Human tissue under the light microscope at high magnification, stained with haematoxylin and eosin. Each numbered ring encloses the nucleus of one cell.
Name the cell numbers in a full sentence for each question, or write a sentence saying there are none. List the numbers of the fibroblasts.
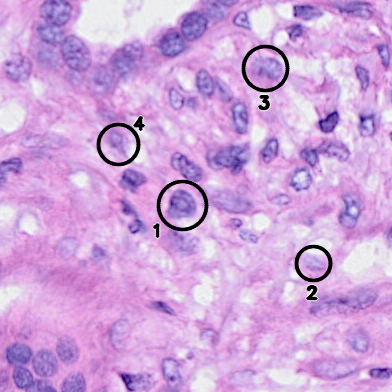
As for the cells numbered 2, 3 and 4, they are fibroblasts.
